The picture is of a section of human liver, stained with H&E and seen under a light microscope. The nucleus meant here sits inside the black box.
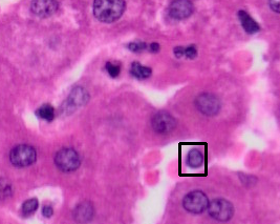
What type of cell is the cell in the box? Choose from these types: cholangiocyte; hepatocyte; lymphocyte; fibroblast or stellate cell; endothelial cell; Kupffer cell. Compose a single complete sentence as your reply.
In this preparation, the cell in the box is a Kupffer cell.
